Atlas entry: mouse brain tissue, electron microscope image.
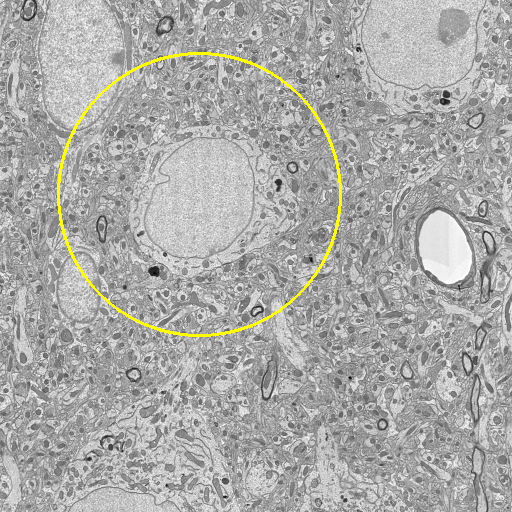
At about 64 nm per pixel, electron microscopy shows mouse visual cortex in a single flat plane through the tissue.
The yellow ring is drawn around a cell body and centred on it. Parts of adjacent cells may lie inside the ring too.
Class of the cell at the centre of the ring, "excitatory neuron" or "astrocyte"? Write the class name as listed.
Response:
excitatory neuron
